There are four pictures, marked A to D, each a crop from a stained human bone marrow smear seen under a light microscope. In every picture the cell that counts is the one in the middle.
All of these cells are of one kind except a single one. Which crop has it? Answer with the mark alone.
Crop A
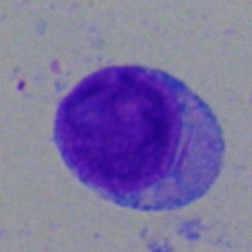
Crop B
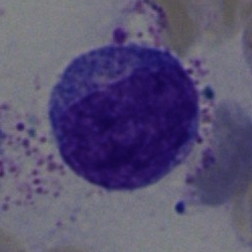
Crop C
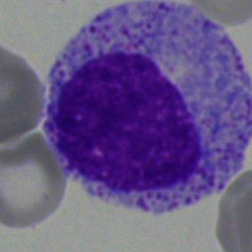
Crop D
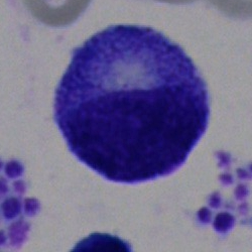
A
